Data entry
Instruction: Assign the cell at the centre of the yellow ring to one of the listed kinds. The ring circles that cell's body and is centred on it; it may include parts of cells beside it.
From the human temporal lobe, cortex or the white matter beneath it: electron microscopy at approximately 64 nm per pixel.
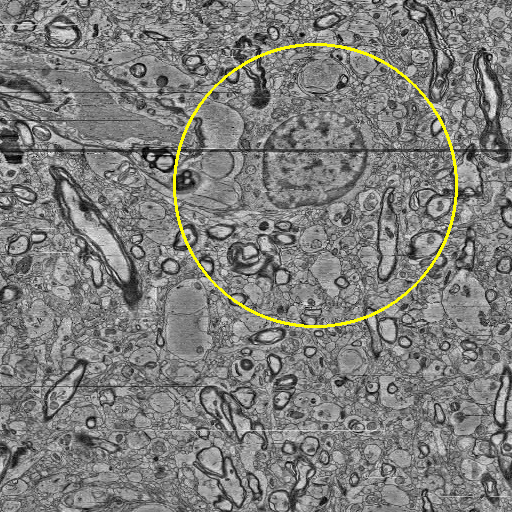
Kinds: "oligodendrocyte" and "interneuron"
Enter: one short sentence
The centre of the ring falls on an oligodendrocyte.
